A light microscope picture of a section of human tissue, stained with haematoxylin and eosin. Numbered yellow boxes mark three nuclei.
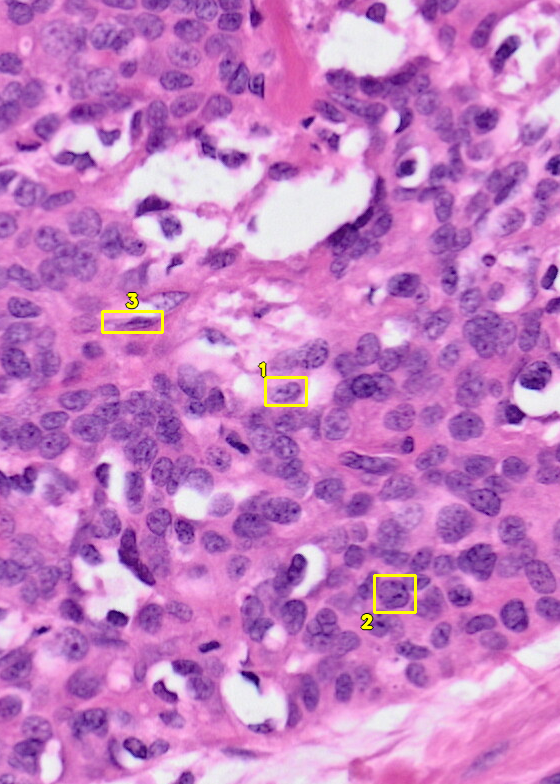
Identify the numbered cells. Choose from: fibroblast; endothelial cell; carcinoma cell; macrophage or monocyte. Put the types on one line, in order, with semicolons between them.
macrophage or monocyte; carcinoma cell; endothelial cell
